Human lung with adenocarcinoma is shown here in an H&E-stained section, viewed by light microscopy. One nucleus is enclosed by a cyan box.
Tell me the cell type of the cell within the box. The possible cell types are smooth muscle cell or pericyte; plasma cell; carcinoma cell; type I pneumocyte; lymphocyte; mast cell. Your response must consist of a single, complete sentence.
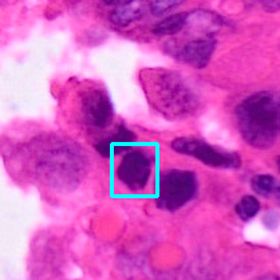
In the tissue at hand, the cell within the box is a carcinoma cell.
